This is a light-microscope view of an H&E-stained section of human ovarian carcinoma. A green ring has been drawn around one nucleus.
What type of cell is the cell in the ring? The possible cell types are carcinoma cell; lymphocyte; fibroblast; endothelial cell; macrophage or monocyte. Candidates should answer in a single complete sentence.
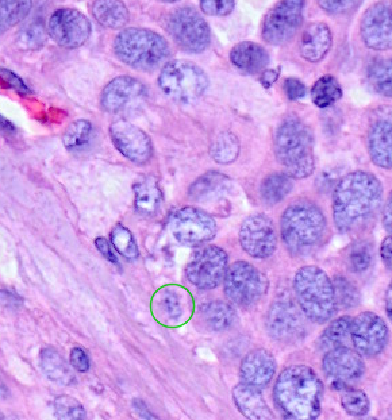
In this preparation, the cell in the ring is a macrophage or monocyte.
